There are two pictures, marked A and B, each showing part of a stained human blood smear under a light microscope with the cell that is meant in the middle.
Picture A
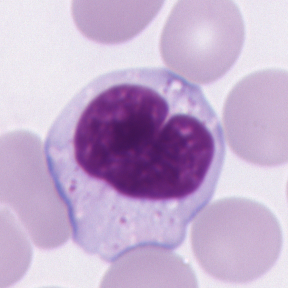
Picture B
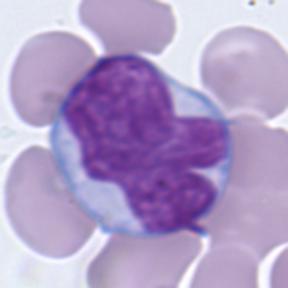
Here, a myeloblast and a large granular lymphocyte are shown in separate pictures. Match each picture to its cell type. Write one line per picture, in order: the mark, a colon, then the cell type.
A: large granular lymphocyte
B: myeloblast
